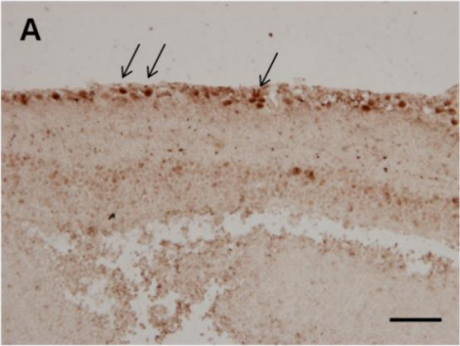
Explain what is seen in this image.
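A section of retina shows a single row of retinal ganglion cells along its inner surface, with round nuclei stained dark brown. Beneath this row lie a pale, finely granular plexiform layer and deeper rows of lightly stained nuclei, with the outermost layers partly torn apart.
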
